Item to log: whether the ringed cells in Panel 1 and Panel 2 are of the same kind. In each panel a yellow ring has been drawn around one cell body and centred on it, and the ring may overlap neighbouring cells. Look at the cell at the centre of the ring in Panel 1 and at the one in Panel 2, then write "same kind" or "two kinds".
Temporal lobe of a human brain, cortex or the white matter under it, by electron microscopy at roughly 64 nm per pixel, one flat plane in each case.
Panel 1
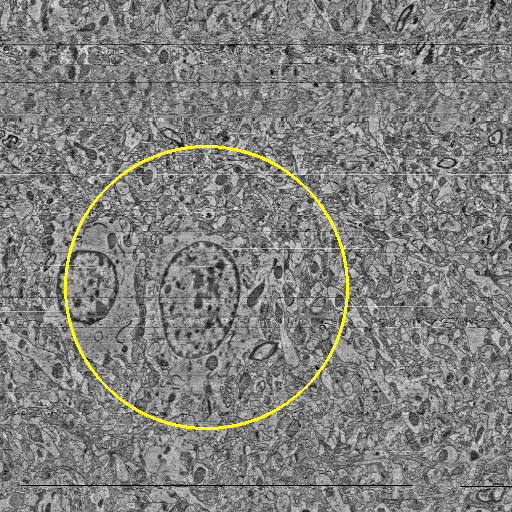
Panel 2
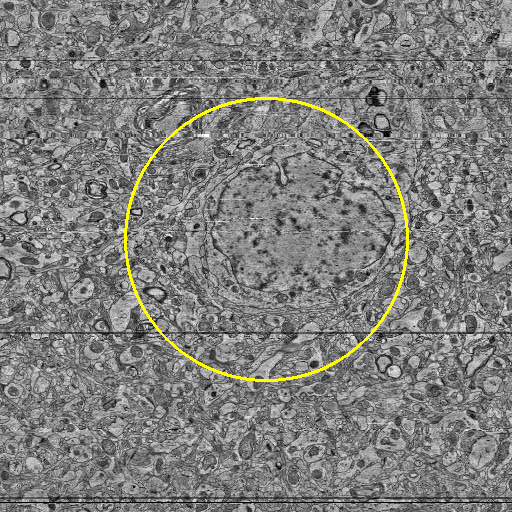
two kinds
